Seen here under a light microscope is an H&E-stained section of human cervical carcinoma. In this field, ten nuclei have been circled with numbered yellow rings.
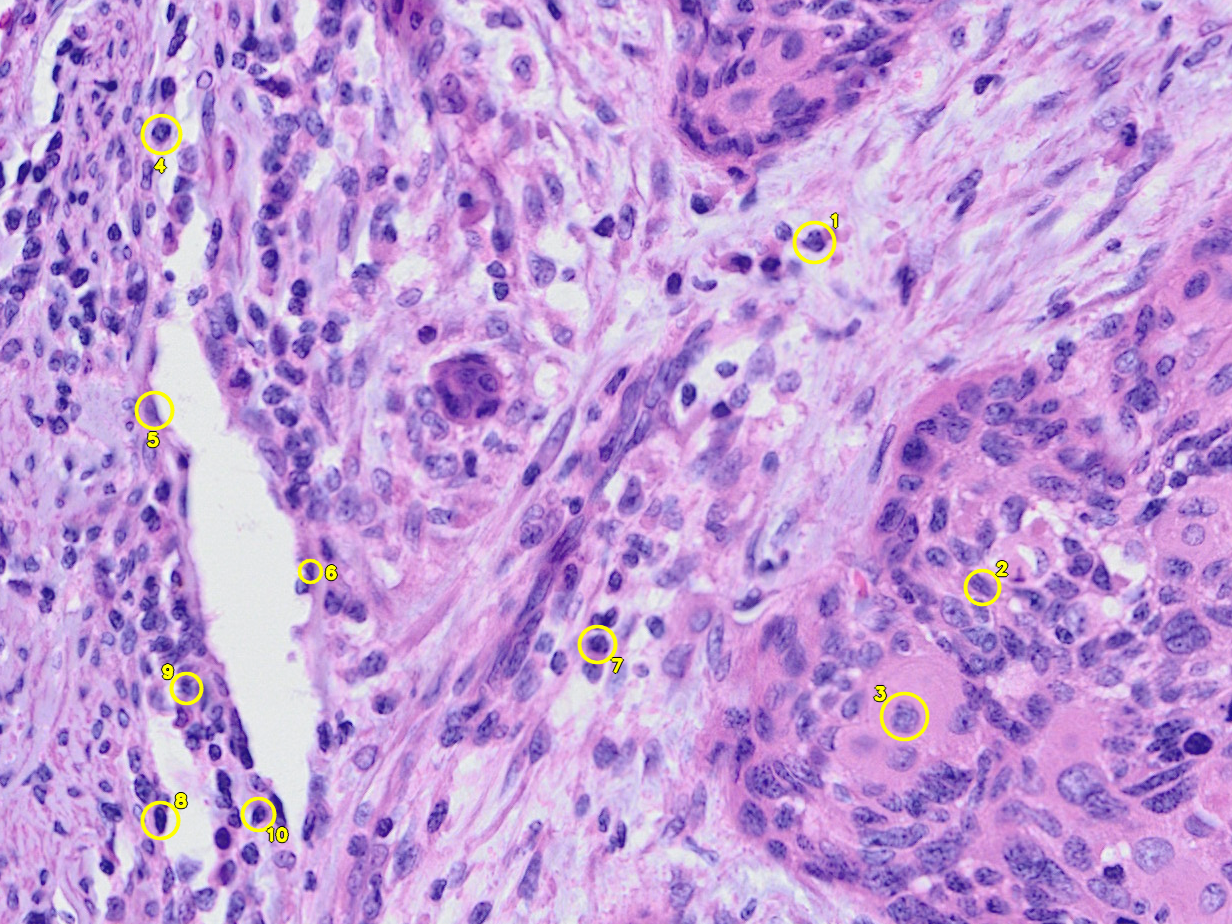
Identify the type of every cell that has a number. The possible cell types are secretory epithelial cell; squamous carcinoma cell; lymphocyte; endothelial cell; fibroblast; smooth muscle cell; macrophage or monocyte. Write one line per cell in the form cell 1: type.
cell 1: lymphocyte
cell 2: squamous carcinoma cell
cell 3: squamous carcinoma cell
cell 4: lymphocyte
cell 5: endothelial cell
cell 6: endothelial cell
cell 7: lymphocyte
cell 8: lymphocyte
cell 9: lymphocyte
cell 10: lymphocyte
